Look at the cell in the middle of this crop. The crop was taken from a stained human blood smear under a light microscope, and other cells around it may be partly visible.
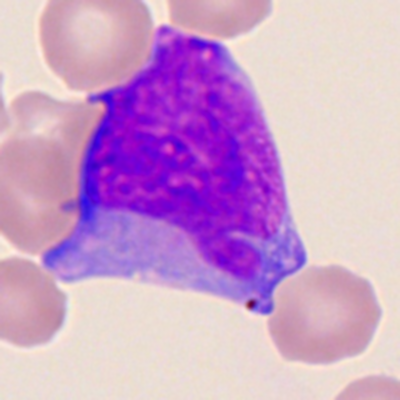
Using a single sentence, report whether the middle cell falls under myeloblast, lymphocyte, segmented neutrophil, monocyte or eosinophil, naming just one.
This crop's central cell is a myeloblast.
